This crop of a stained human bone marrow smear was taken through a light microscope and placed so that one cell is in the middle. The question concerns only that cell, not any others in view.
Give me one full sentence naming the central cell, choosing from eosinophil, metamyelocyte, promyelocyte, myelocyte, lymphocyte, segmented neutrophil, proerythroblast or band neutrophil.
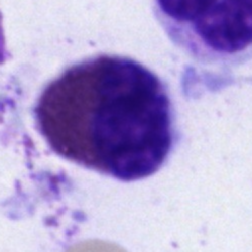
In this crop, the cell at the very middle is an eosinophil.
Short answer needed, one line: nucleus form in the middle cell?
See how the nucleus sits as one compact round, oval or kidney-shaped mass.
